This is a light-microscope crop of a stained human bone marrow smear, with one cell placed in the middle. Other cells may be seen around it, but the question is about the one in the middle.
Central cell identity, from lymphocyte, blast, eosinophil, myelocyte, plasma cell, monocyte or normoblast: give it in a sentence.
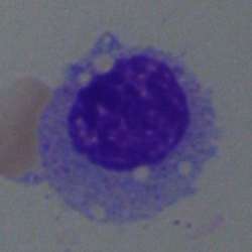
The middle of this crop holds a myelocyte.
